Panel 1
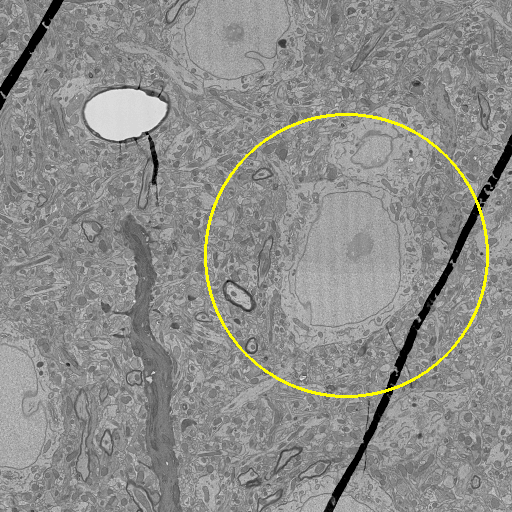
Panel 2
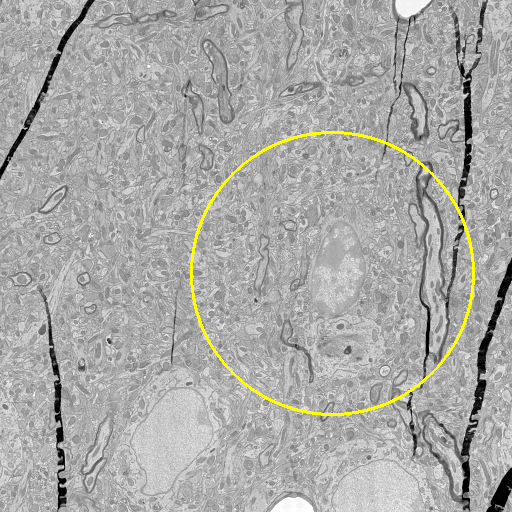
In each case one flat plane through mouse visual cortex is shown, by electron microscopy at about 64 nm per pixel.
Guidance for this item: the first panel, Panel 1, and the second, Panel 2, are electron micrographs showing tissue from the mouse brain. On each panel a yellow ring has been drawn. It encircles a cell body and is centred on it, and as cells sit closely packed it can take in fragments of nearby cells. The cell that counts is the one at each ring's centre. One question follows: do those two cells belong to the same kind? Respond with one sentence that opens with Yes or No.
No, the cells at the ring centres in Panel 1 and Panel 2 are of two kinds.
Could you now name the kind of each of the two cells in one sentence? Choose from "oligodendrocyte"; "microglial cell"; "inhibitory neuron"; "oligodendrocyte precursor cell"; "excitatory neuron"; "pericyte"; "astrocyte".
The first ring encloses an excitatory neuron; the second ring encloses an oligodendrocyte.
